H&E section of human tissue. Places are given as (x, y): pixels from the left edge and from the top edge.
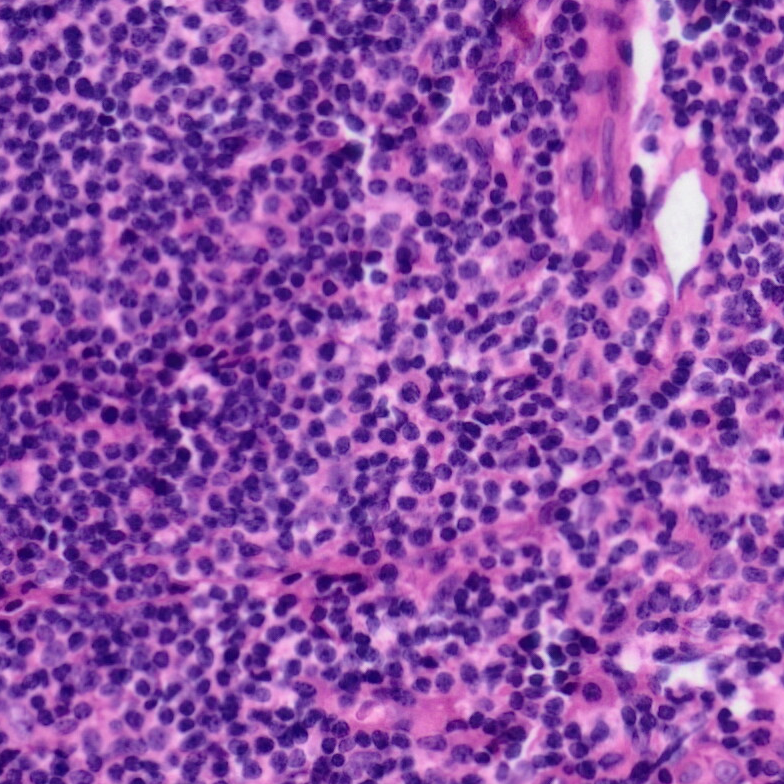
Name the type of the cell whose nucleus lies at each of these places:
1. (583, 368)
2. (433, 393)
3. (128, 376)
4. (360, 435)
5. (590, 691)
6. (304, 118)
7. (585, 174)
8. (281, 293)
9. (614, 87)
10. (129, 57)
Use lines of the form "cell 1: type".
cell 1: endothelial cell
cell 2: small lymphocyte
cell 3: small lymphocyte
cell 4: small lymphocyte
cell 5: plasma cell
cell 6: small lymphocyte
cell 7: endothelial cell
cell 8: small lymphocyte
cell 9: endothelial cell
cell 10: small lymphocyte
